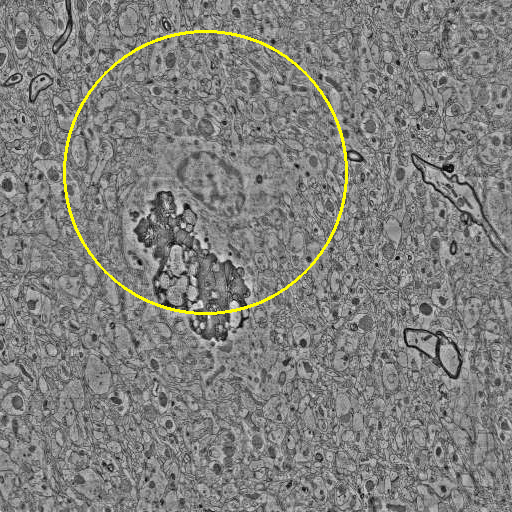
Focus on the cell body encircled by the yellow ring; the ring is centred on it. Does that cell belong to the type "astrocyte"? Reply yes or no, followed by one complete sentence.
Yes, that type fits the cell lying at the centre of the ring in the picture.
